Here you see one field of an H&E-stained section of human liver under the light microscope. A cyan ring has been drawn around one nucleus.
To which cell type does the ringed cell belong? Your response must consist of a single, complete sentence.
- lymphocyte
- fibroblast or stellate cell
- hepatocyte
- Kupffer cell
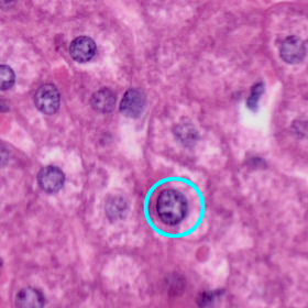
Placed in its cell category, the ringed cell is a hepatocyte.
